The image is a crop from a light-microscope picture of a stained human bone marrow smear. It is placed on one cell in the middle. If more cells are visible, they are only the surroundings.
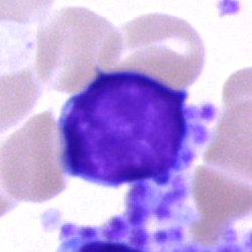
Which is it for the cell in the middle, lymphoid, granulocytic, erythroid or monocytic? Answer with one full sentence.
Belonging to the lymphoid lineage is the cell positioned in the middle.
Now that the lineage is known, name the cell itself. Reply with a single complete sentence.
Classified as a lymphocyte is the cell in the middle of this crop.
